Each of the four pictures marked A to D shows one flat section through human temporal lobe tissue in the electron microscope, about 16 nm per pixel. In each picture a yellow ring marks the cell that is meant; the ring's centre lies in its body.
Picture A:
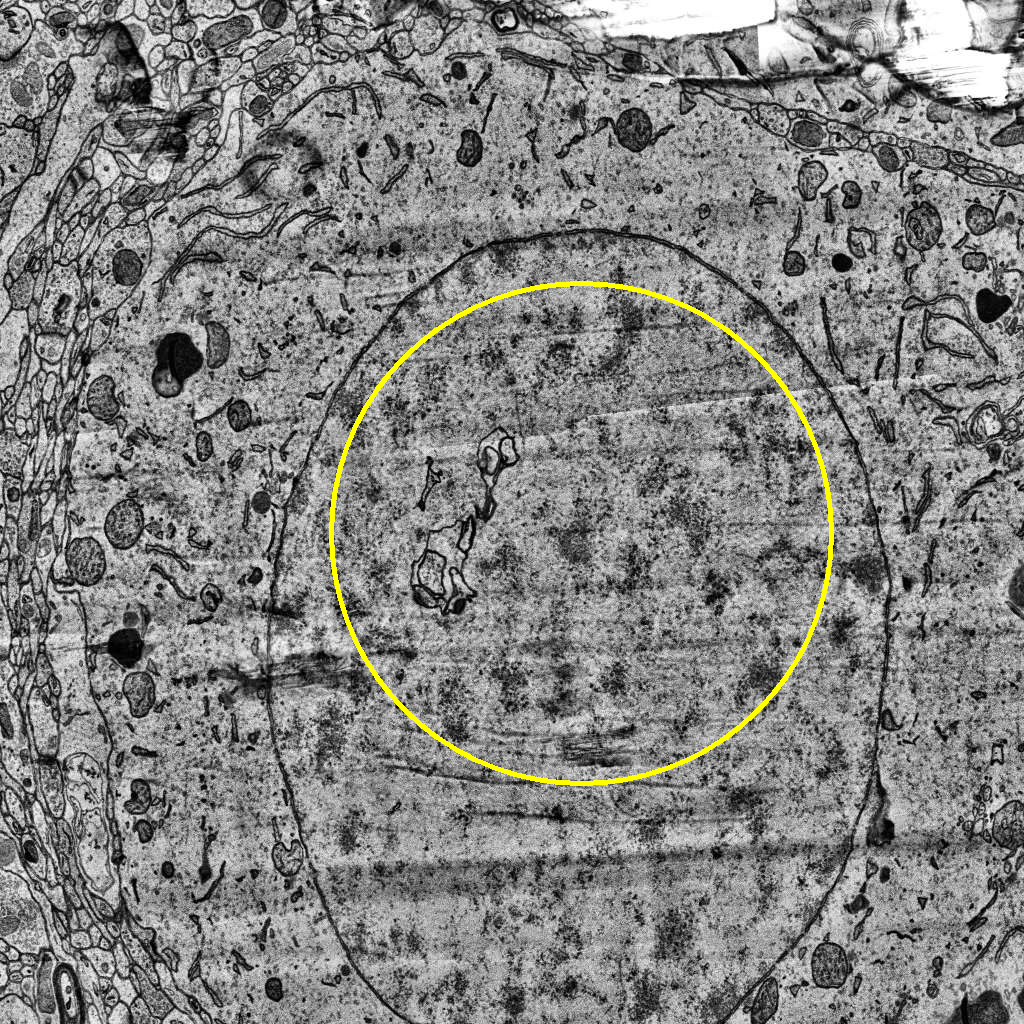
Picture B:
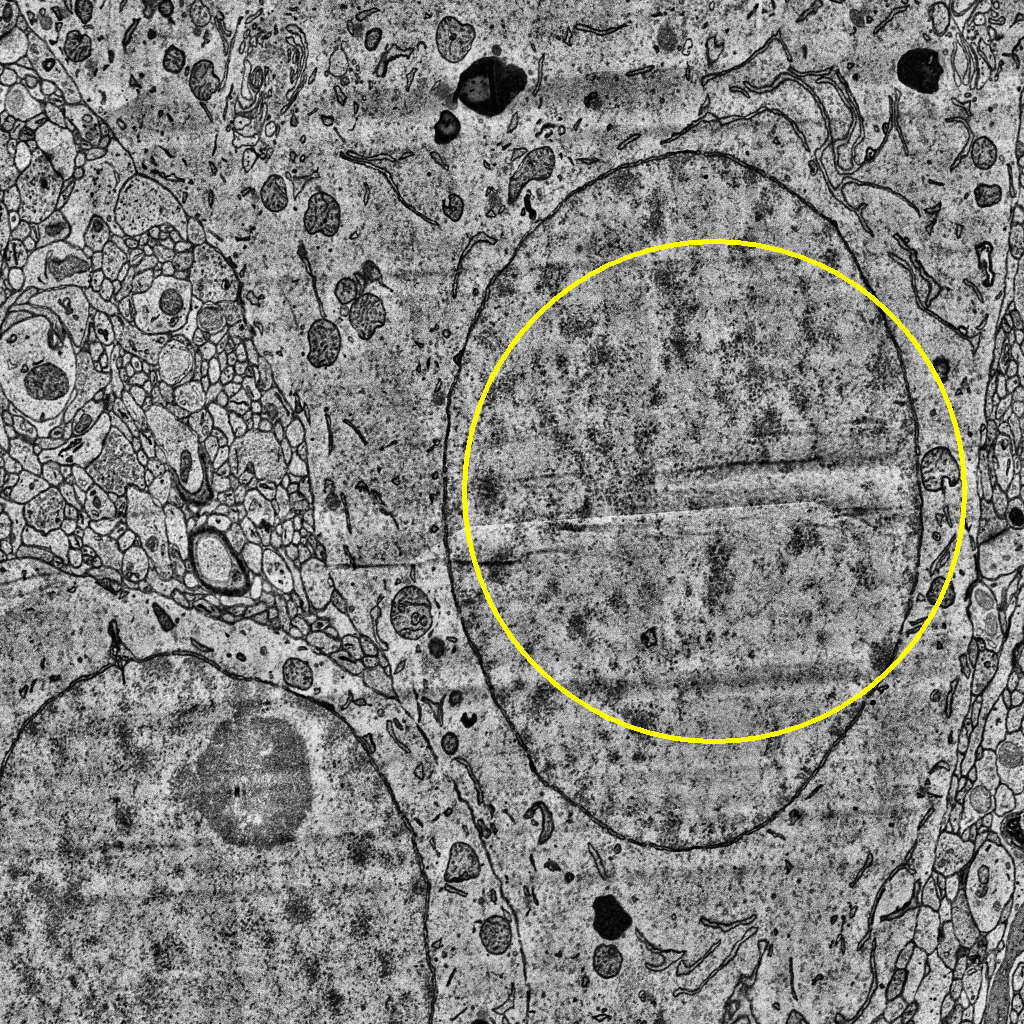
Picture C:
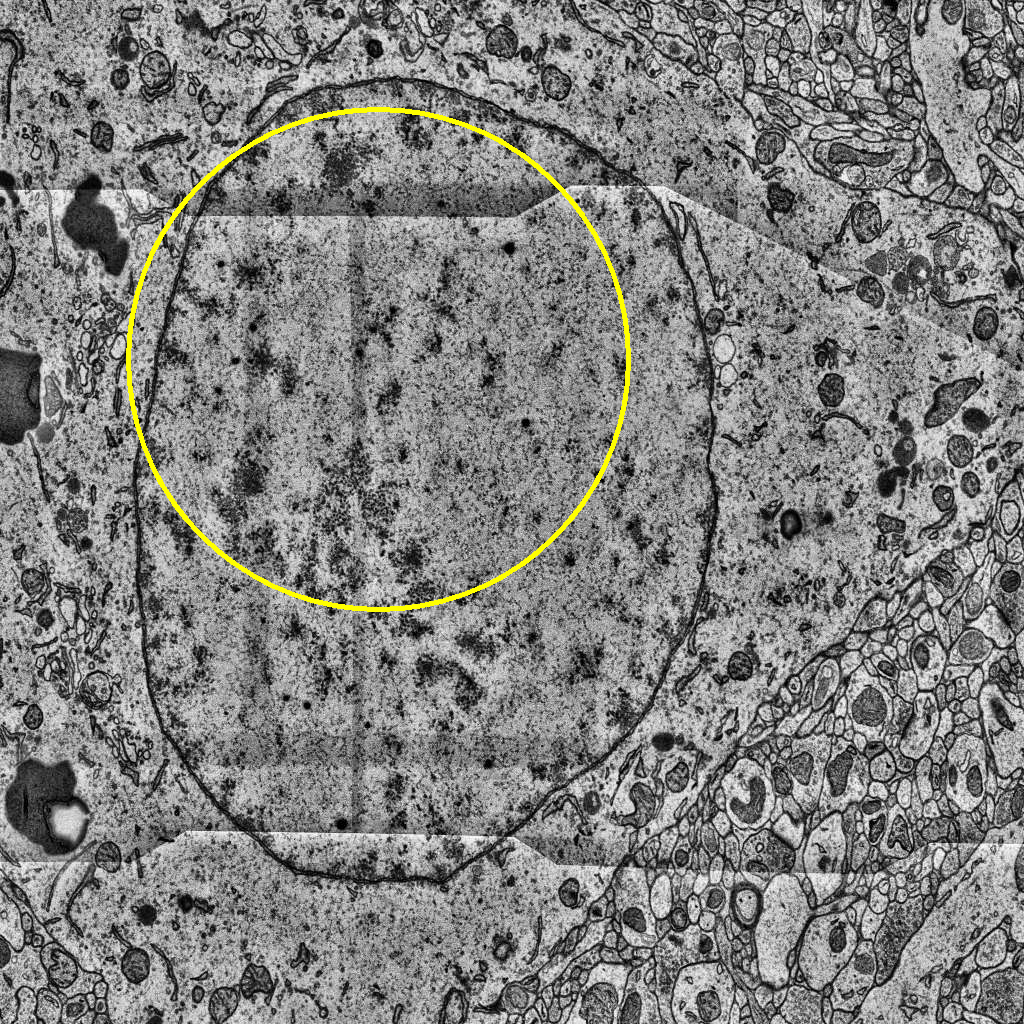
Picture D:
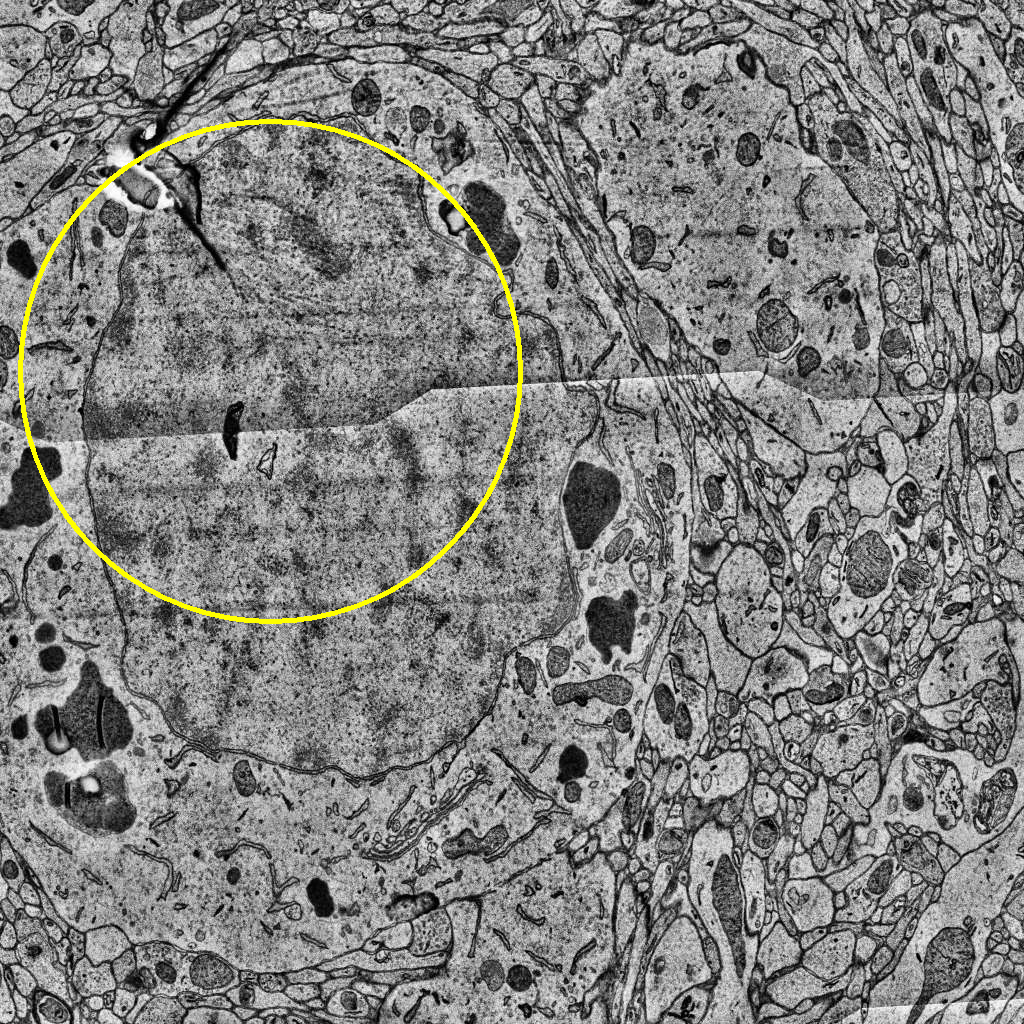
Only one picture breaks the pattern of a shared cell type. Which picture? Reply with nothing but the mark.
D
